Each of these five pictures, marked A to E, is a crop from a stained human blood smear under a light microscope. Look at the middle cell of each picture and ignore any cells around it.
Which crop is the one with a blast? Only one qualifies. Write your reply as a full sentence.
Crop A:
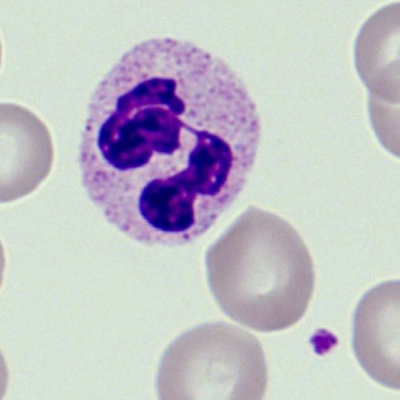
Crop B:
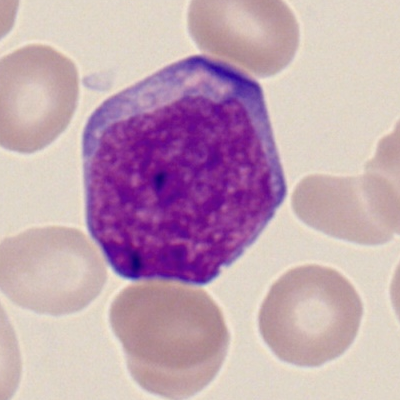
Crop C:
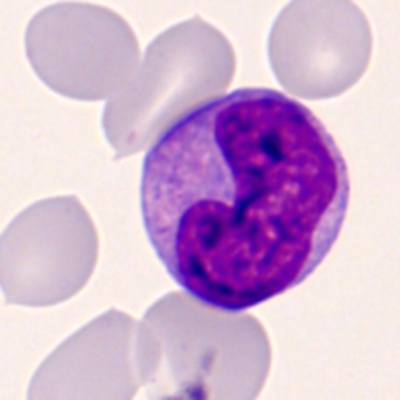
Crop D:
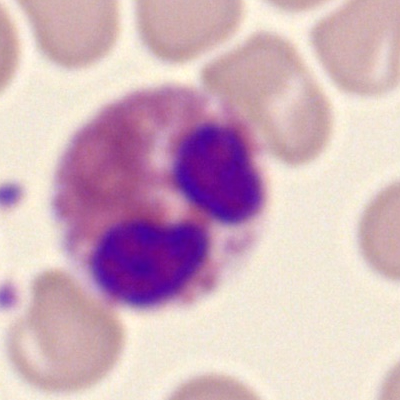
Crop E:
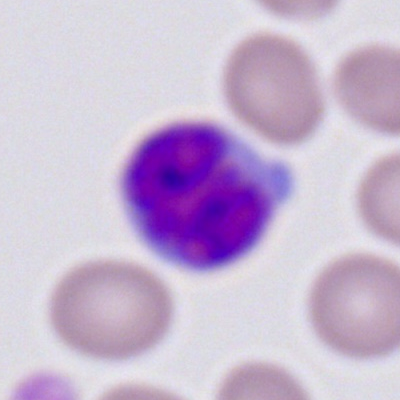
Of the labeled crops, the one with a blast is crop B.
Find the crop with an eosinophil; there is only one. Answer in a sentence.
The crop in which an eosinophil is shown is crop D.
